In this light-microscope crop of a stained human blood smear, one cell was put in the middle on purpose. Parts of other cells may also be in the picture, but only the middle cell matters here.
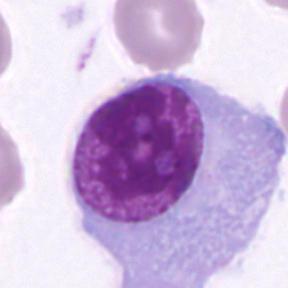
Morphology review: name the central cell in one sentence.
The cell at the middle of the crop is recognized as a plasma cell.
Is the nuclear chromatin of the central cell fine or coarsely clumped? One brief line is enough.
There is no coarse clumping; the chromatin stays fine throughout.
